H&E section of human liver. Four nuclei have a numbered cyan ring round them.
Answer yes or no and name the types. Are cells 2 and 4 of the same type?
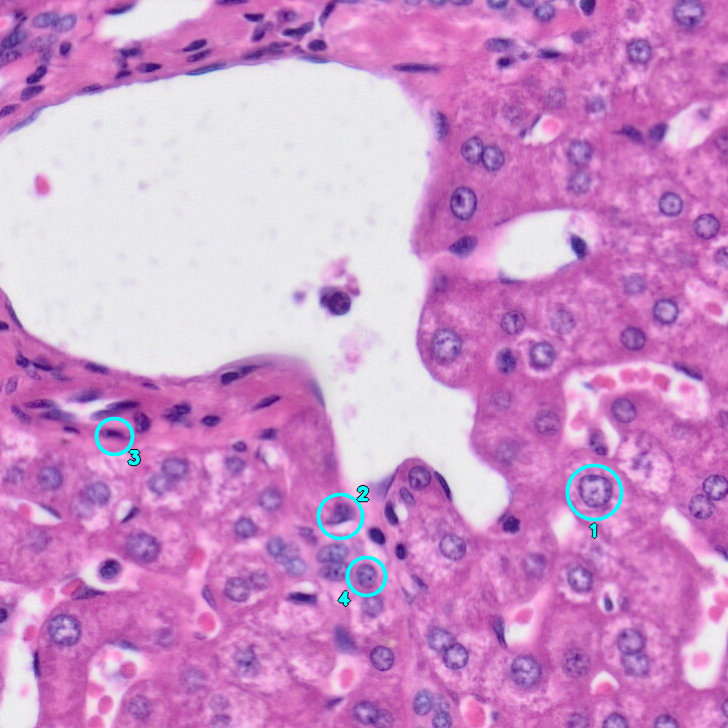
No, that is not right: cell 2 is a fibroblast or stellate cell and cell 4 is a cholangiocyte.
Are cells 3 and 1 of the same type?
No, just to clarify, cell 3 is a fibroblast or stellate cell and cell 1 is a hepatocyte.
